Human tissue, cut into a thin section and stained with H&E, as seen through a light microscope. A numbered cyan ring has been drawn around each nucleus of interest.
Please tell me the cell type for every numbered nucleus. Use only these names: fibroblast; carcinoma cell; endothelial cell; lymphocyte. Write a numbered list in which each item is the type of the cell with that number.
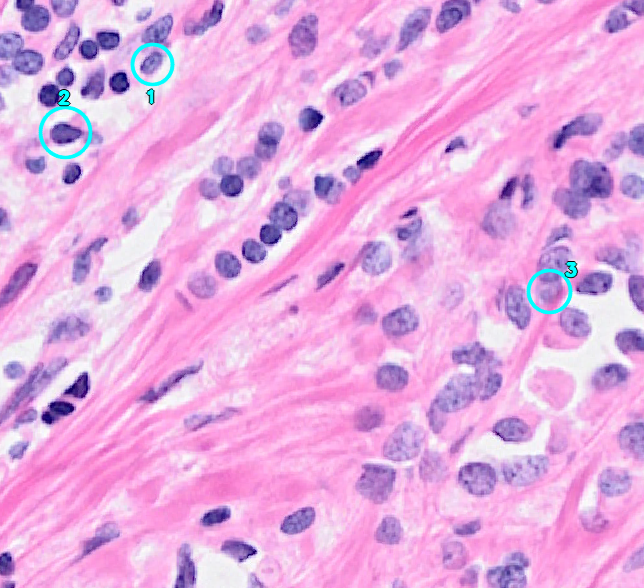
1. lymphocyte
2. lymphocyte
3. carcinoma cell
